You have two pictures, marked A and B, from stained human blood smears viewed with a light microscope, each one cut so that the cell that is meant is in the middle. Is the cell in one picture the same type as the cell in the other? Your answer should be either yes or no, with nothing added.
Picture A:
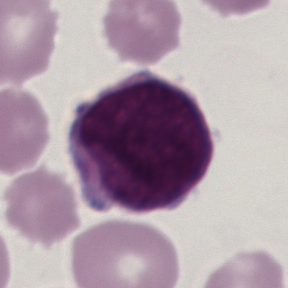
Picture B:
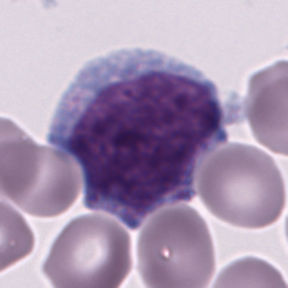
no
